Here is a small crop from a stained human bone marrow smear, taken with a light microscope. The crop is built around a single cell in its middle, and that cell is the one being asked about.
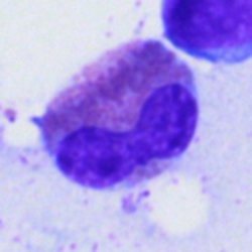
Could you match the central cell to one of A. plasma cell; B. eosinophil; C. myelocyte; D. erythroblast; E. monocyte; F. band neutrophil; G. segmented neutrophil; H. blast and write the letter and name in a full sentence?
In the centre of the crop there is an eosinophil, making option B correct.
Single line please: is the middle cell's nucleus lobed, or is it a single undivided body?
Round, oval or kidney-shaped, the nucleus is one compact mass.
